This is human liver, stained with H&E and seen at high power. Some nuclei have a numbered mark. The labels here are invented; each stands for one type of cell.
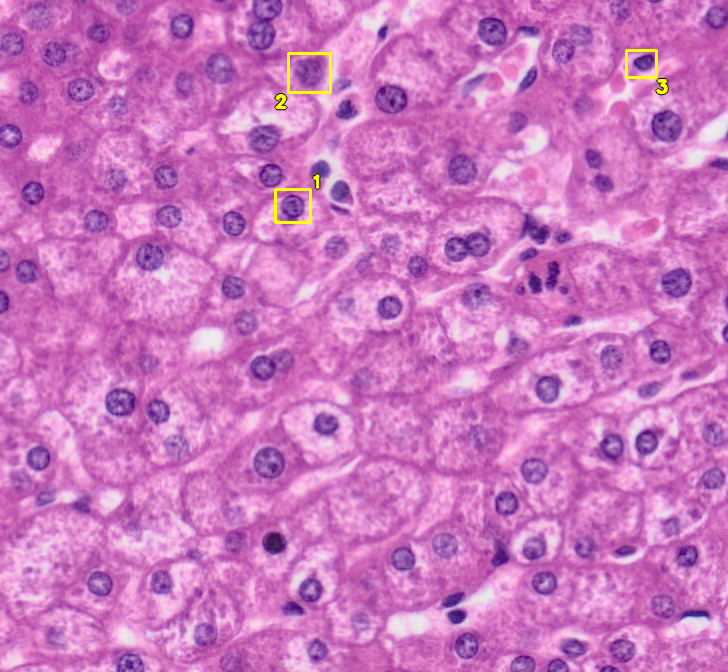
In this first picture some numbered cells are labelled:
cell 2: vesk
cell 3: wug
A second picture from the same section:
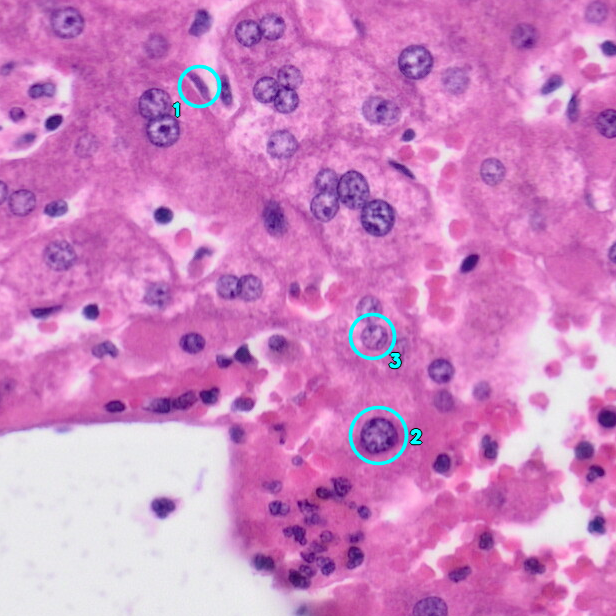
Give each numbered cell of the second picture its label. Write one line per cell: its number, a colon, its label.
1: wug
2: vesk
3: vesk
